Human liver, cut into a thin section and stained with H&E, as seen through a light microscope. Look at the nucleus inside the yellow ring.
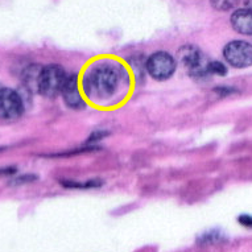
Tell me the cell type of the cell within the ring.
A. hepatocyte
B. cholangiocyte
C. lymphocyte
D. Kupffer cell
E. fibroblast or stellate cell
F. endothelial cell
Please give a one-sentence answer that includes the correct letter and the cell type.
In this section the cell within the ring is a cholangiocyte; option B is therefore correct.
